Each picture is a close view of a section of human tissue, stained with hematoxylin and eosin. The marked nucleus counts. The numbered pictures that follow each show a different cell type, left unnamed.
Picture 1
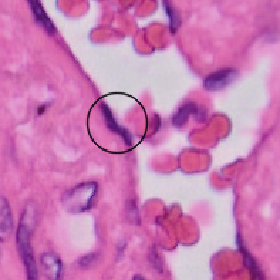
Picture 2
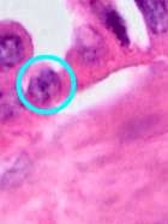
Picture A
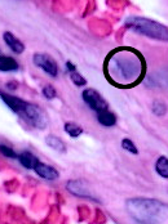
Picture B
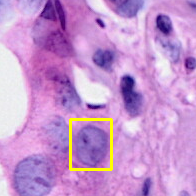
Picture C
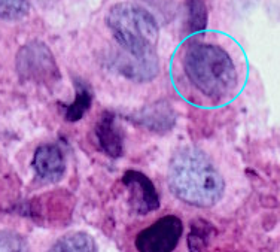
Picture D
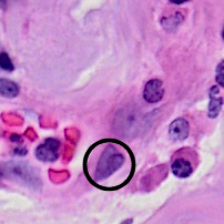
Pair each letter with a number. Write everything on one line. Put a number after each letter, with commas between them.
A 1, B 2, C 2, D 1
